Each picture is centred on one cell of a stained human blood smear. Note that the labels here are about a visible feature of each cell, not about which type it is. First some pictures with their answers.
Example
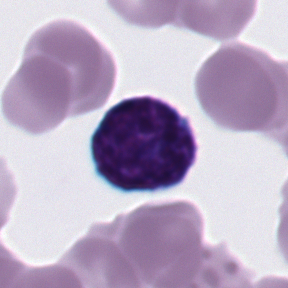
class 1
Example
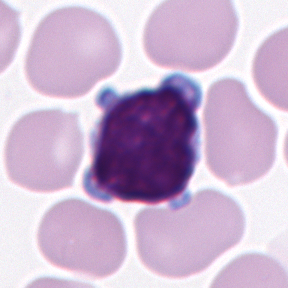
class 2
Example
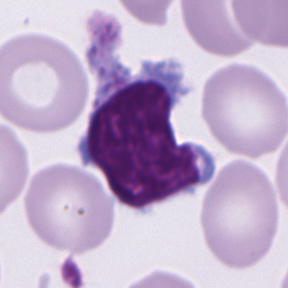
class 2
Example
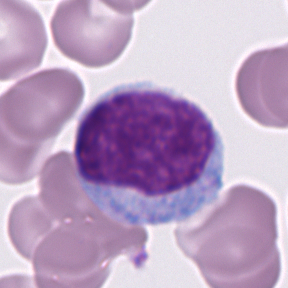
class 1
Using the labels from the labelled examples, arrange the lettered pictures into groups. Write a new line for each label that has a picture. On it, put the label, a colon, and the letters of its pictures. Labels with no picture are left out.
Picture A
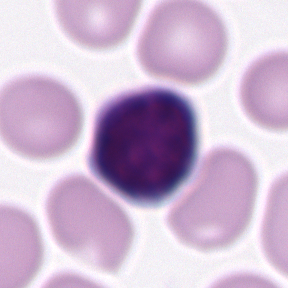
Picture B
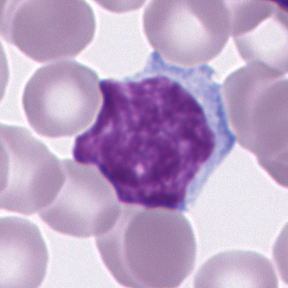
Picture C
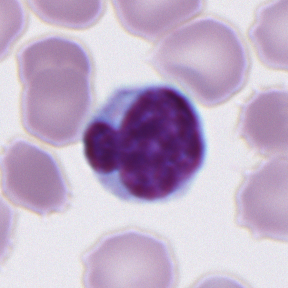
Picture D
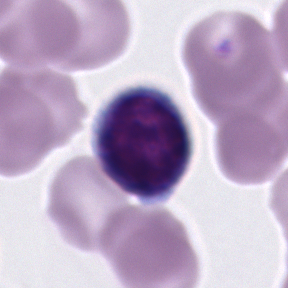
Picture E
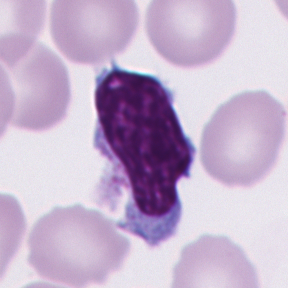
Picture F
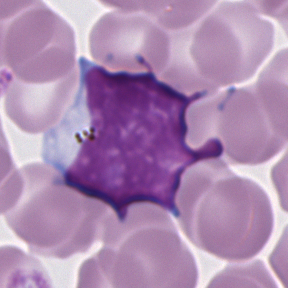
class 1: A, C, D
class 2: B, E, F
